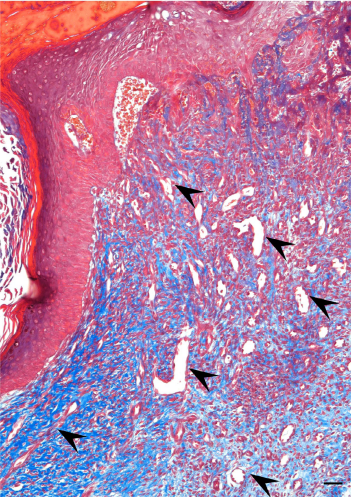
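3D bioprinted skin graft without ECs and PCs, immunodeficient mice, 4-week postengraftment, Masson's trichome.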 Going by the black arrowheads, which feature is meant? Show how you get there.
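The arrowheads point to open, empty lumens within the dermal tissue. Many small open lumens are scattered through the blue-and-red stained tissue around them. The answer: large microvessels.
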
